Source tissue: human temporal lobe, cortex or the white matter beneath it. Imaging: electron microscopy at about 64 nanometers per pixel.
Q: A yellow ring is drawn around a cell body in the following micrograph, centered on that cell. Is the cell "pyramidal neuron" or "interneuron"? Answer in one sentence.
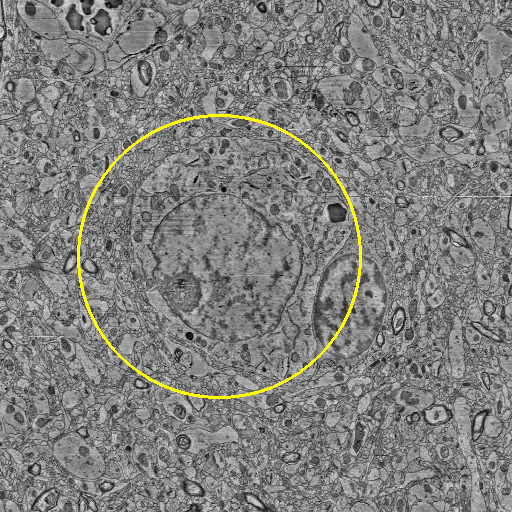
The cell in the center of the ring is an interneuron.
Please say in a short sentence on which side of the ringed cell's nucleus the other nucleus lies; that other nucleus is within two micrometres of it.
The second nucleus sits to the right of it.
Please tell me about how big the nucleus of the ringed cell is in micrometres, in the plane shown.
About 10 micrometers across, in this plane.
